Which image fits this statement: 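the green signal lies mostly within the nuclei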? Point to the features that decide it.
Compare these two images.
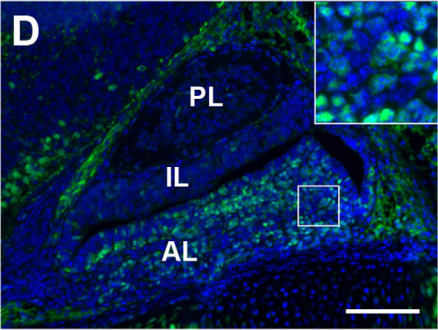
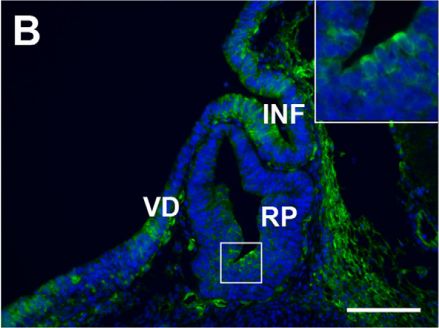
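First image: the inset shows many round green spots matching the nuclei. Second image: the inset shows faint diffuse green between blue nuclei, without distinct green nuclei. On this evidence: the first image.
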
